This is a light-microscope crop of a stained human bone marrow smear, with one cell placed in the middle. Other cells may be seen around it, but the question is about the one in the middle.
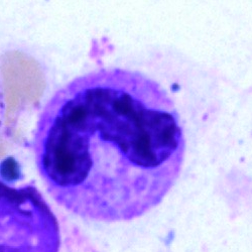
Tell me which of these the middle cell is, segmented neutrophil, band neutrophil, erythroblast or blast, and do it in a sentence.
The centered cell in this crop is a band neutrophil.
